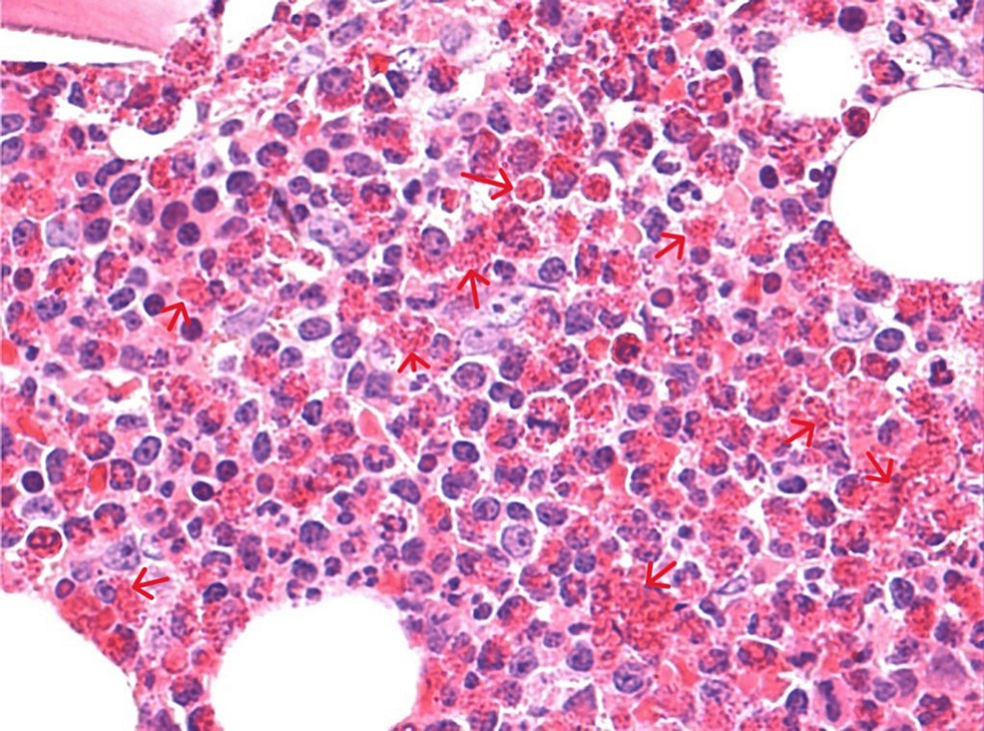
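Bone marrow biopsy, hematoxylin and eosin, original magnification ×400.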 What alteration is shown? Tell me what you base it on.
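Hypereosinophilia. Cells with coarse red-orange cytoplasmic granules make up a large share of the marrow cells. The marrow is densely cellular with few fat spaces.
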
